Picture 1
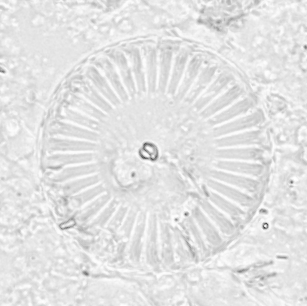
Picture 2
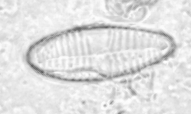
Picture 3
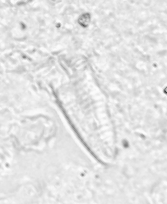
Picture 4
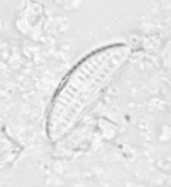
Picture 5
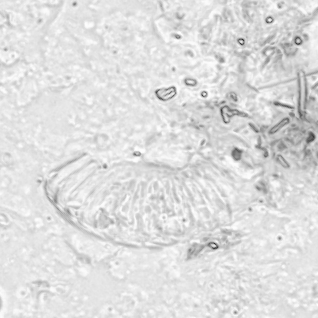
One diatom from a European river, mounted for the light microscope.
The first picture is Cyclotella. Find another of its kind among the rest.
Picture 5.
